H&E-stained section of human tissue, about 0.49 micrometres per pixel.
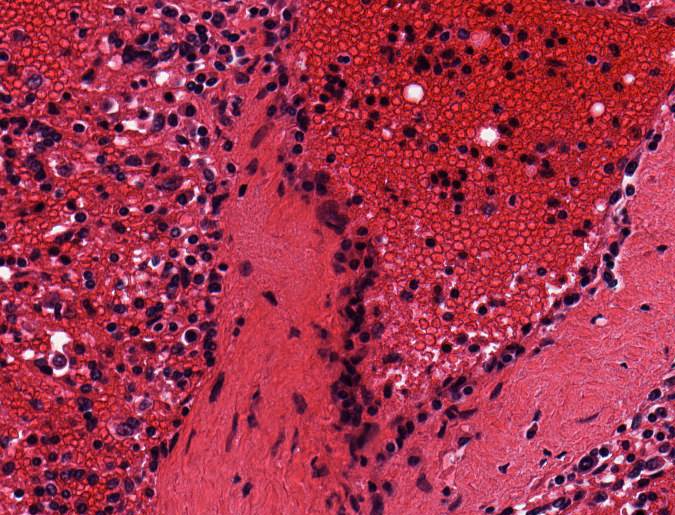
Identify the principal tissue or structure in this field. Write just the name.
red pulp of the spleen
